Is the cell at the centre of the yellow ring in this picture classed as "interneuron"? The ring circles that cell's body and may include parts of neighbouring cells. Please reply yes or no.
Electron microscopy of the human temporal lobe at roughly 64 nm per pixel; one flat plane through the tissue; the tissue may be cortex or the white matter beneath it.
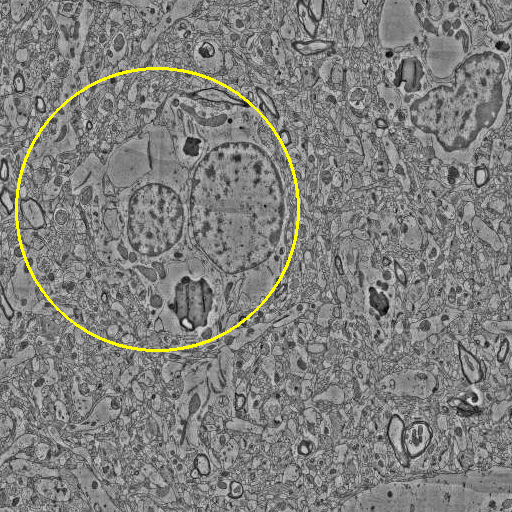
No, it is of another kind.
